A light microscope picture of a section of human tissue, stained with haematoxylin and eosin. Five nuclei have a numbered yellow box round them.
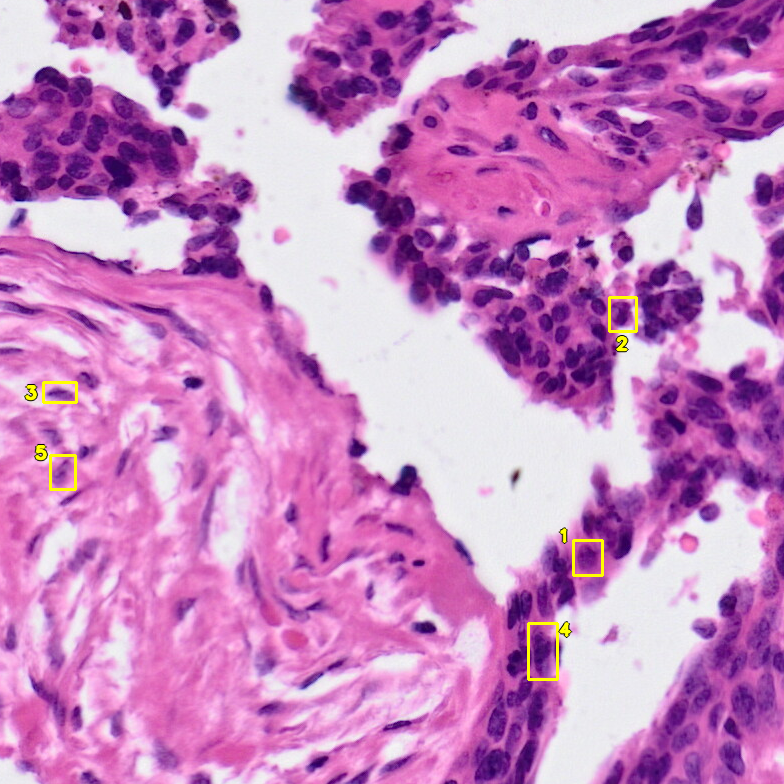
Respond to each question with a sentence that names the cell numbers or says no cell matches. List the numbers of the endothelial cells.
None of the cells indicated by numbers are endothelial cells.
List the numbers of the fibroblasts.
The cells numbered 3 and 5 are typed as fibroblasts.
